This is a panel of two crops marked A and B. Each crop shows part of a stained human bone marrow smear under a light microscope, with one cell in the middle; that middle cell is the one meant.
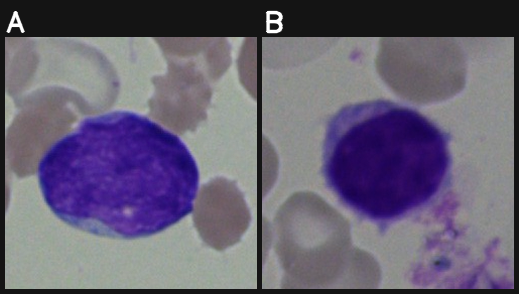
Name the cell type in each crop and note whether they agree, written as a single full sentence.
No, within crop A lies a blast, and within crop B lies a lymphocyte.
